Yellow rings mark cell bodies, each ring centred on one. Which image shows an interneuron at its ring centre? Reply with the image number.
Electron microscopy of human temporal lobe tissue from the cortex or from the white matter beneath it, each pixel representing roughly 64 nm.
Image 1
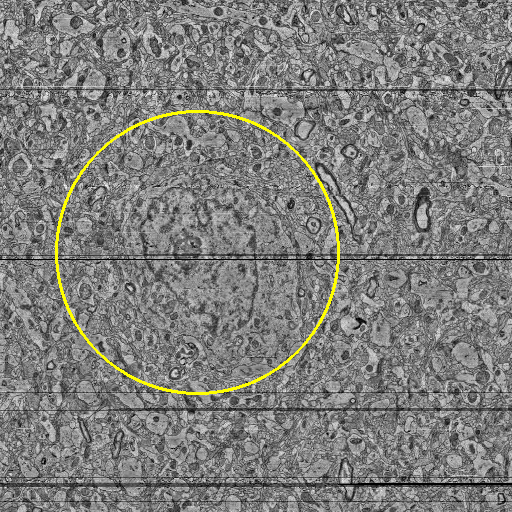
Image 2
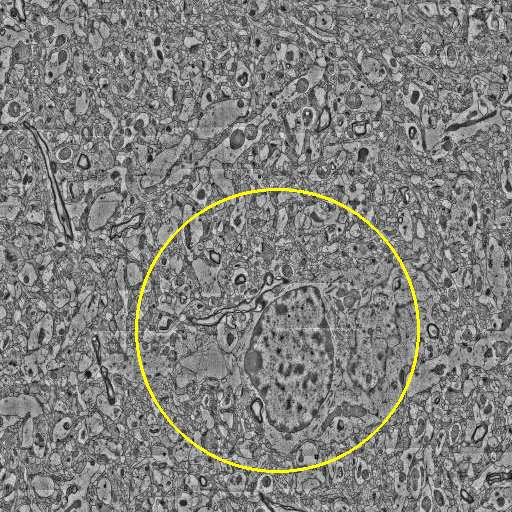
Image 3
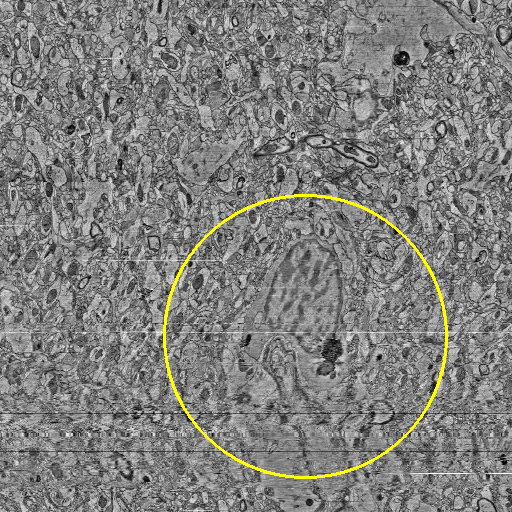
1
